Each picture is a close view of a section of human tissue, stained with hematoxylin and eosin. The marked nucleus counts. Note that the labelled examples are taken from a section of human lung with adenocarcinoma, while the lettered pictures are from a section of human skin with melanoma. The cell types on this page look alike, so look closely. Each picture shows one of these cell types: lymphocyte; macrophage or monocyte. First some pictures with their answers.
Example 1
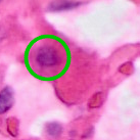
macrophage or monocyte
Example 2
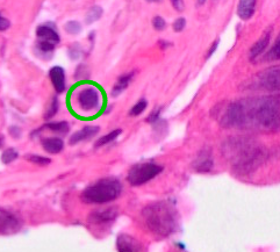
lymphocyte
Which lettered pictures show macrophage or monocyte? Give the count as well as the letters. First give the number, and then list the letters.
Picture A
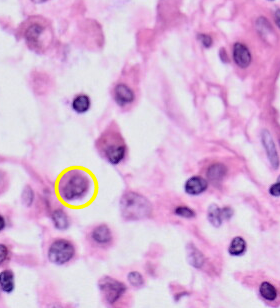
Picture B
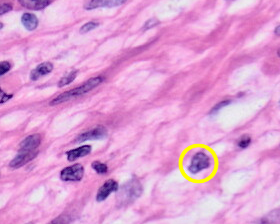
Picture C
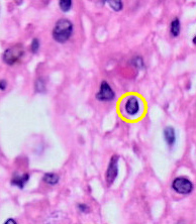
Count: 1 (A)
